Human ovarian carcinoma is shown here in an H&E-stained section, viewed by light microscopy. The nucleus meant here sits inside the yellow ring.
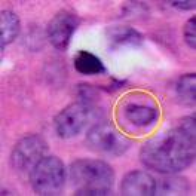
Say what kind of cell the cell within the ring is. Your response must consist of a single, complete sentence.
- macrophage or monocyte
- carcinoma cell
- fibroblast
The cell type of the cell within the ring is that of a macrophage or monocyte.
